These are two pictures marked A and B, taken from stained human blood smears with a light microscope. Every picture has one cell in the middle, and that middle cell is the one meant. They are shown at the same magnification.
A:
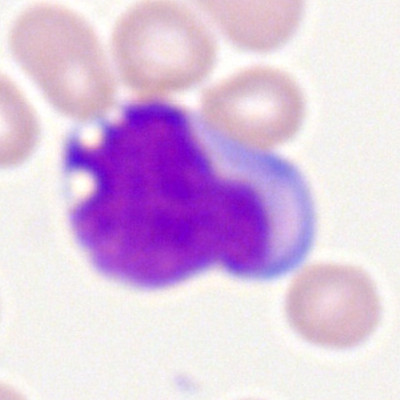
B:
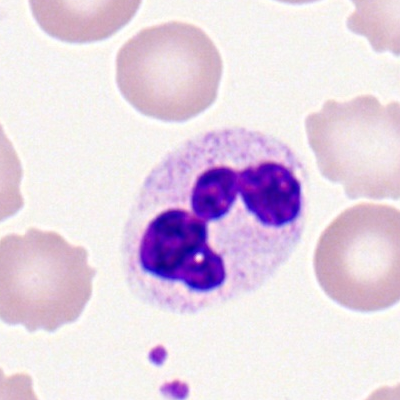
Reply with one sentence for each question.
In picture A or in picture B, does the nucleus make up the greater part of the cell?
Of the two, the nucleus in picture A makes up the greater part of its cell.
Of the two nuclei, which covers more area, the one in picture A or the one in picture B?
Picture A shows the larger nucleus; it covers about 2 times the area of the nucleus in picture B.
